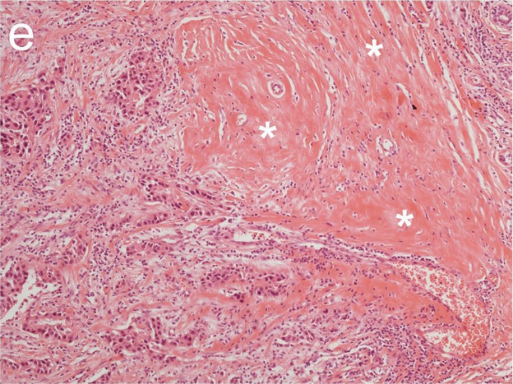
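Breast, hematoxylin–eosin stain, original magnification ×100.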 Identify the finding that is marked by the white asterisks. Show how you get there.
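The asterisks lie on broad areas of dense pink fibrous material with few nuclei. Nests of tumor cells lie at the edges of these pink areas. So: stromal fibrosis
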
